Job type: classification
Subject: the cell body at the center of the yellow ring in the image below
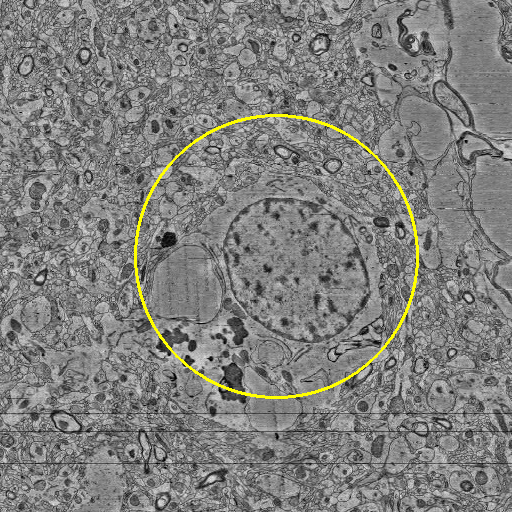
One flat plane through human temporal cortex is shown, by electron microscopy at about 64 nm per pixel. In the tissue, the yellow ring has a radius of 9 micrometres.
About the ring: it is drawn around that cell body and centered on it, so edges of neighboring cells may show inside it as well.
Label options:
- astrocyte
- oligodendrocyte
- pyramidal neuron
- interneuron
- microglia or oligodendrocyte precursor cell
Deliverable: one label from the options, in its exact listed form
astrocyte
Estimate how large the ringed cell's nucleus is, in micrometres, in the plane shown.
In this plane the nucleus measures roughly 10 by 9 micrometres.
